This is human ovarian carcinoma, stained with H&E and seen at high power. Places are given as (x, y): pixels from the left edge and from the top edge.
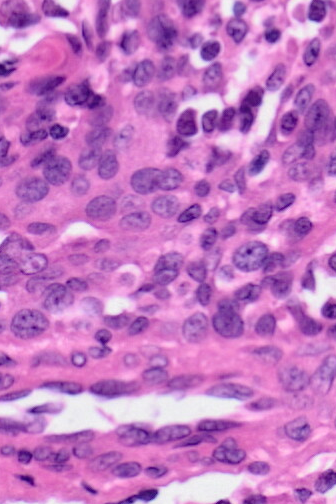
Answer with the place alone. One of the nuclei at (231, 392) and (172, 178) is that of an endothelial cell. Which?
(231, 392)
